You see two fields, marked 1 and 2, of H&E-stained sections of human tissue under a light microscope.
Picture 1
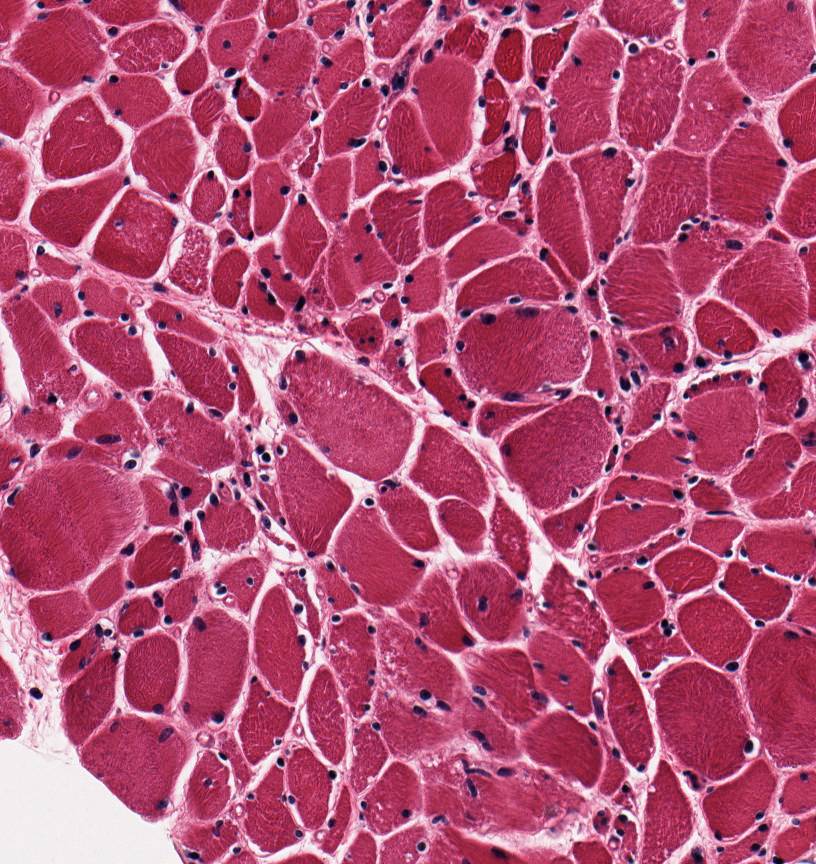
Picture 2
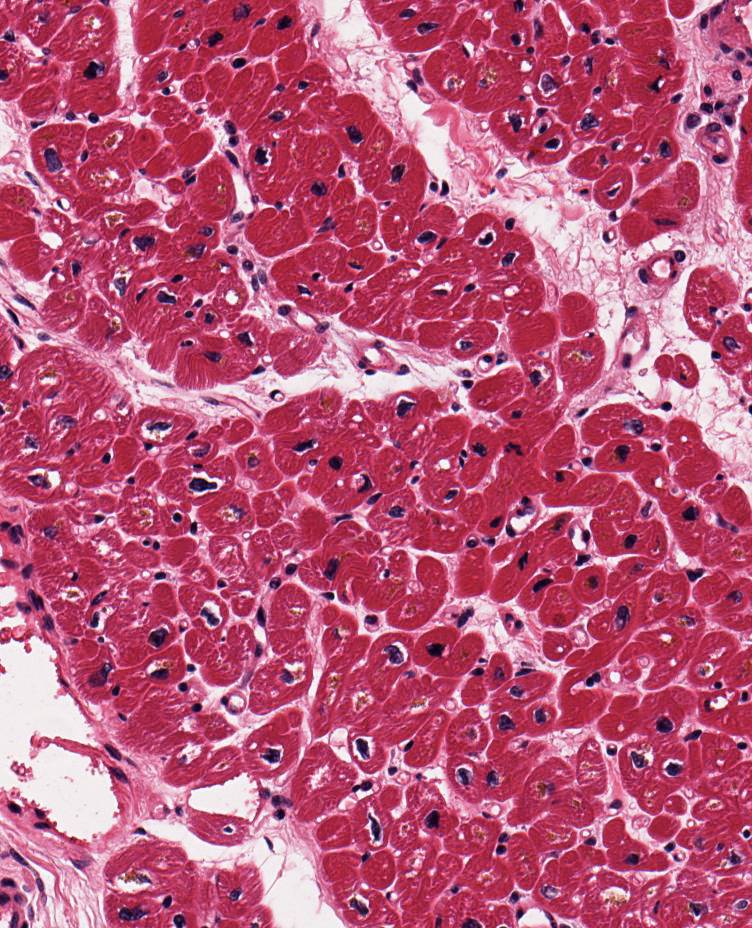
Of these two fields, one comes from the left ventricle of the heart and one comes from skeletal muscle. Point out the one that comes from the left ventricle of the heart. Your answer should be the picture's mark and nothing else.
2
